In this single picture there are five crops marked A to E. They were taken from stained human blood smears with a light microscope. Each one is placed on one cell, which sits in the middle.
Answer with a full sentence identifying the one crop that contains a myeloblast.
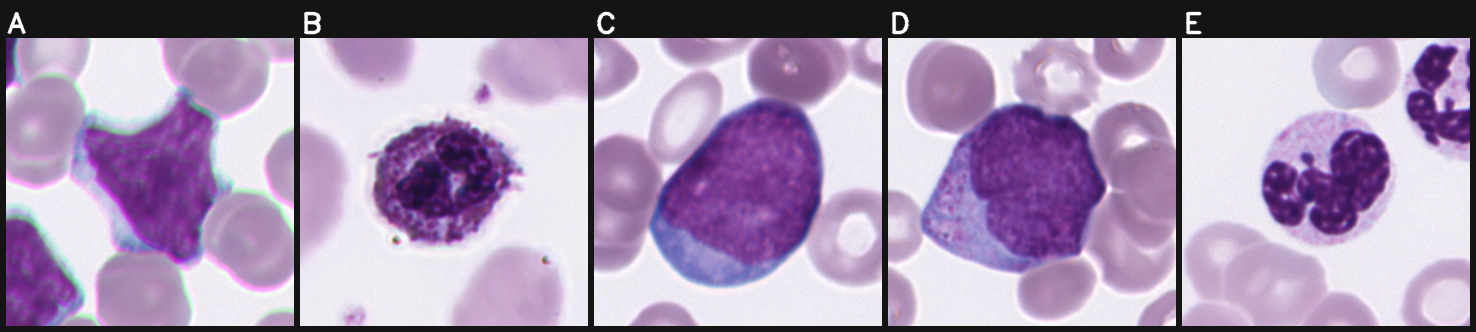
Of the labeled crops, the one with a myeloblast is crop C.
